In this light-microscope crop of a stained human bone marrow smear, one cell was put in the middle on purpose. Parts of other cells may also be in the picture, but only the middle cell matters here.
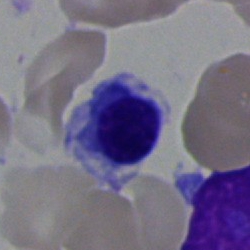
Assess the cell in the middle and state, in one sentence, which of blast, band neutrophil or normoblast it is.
The central element of this crop is a cell, namely a normoblast.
